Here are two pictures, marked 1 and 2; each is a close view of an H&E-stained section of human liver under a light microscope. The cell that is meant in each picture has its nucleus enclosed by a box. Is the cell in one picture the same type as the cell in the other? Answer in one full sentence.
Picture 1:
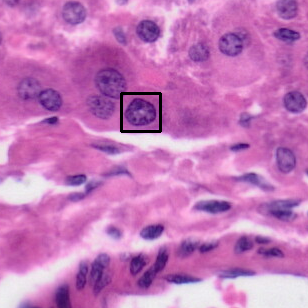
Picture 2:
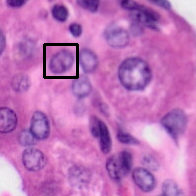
No; the cell in picture 1 is a hepatocyte, while the one in picture 2 is a cholangiocyte.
